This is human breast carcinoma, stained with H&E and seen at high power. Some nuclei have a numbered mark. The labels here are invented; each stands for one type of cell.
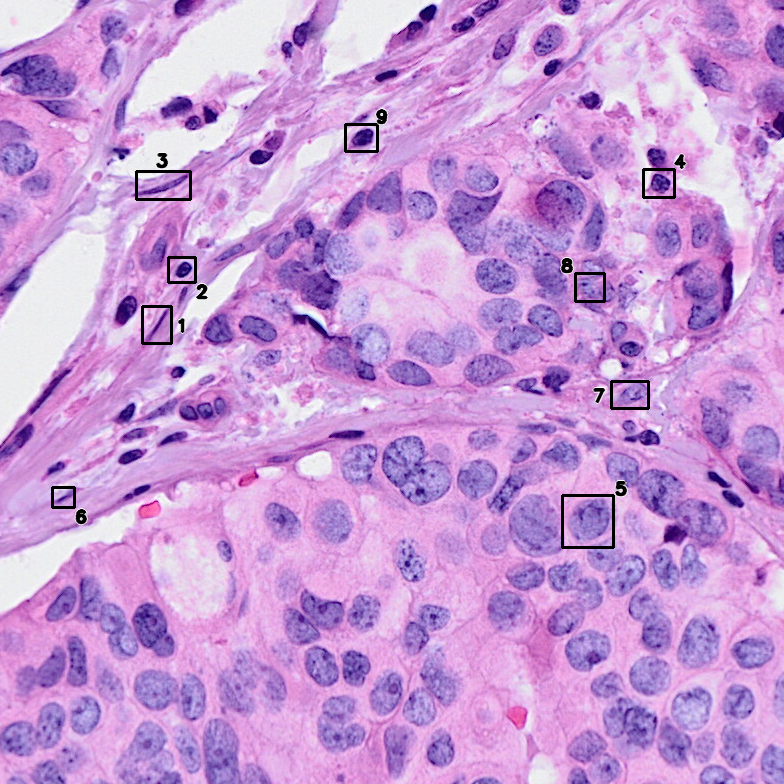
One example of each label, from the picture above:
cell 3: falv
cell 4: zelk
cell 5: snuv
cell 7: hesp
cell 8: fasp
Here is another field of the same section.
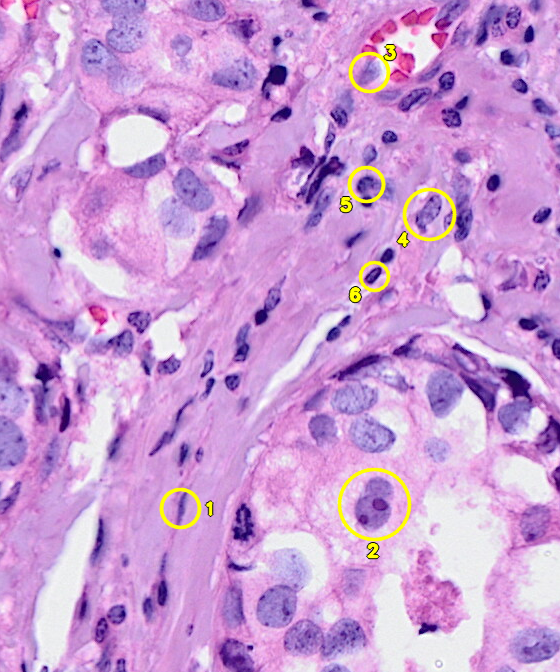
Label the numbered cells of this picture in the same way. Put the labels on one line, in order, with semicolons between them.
falv; snuv; fasp; hesp; zelk; zelk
